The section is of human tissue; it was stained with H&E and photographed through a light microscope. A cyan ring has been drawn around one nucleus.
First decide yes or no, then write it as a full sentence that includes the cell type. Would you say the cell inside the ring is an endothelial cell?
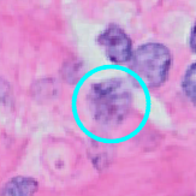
No; the cell inside the ring should be labelled a carcinoma cell rather than an endothelial cell.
